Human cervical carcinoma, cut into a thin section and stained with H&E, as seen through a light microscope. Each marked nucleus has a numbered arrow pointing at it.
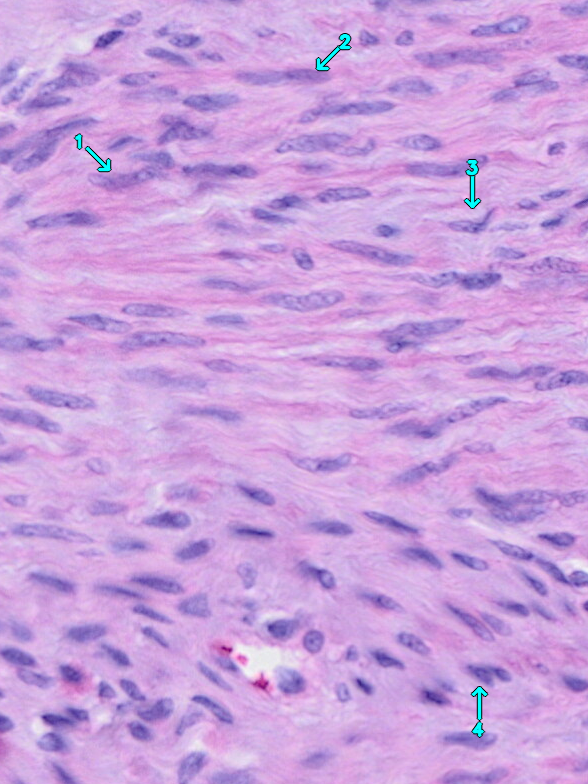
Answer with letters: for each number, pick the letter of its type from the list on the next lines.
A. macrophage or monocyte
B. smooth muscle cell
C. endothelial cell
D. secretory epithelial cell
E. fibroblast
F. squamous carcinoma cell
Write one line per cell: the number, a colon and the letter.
1: B
2: B
3: B
4: E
